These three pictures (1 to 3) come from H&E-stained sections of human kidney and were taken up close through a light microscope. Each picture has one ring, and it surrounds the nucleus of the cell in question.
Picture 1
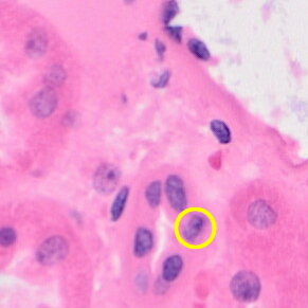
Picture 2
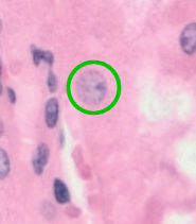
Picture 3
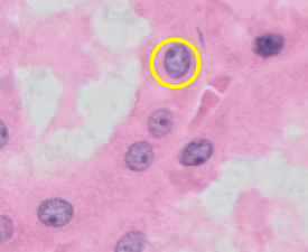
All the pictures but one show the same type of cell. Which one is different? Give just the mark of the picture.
1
